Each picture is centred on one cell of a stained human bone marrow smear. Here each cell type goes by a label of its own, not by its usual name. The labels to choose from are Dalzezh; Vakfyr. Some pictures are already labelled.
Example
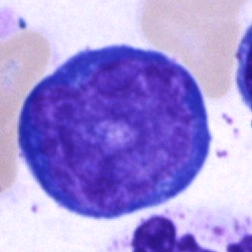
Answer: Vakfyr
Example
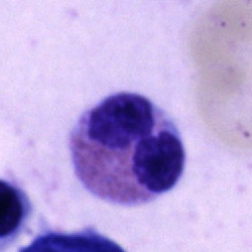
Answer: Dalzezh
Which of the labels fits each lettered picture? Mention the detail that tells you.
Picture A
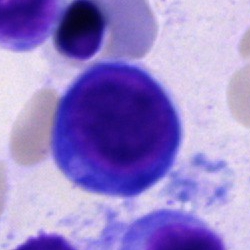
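Label: Vakfyr. The nucleus fills most of the cell, leaving a narrow rim of cytoplasm.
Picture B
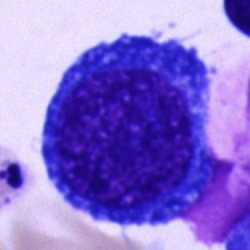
Label: Vakfyr. The chromatin is finely stippled rather than coarsely clumped.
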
